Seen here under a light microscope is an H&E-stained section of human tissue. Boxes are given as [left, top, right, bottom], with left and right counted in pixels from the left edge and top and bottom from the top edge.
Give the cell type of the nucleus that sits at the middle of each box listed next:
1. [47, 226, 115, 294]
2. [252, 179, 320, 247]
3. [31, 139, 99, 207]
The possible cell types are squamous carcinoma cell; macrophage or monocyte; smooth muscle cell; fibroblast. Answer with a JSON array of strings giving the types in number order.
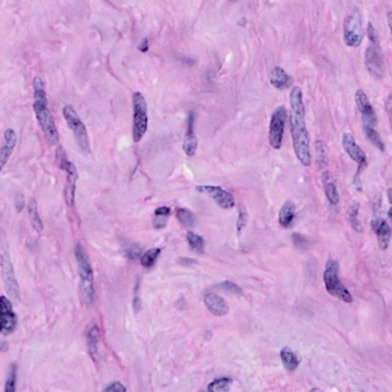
["smooth muscle cell", "fibroblast", "smooth muscle cell"]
